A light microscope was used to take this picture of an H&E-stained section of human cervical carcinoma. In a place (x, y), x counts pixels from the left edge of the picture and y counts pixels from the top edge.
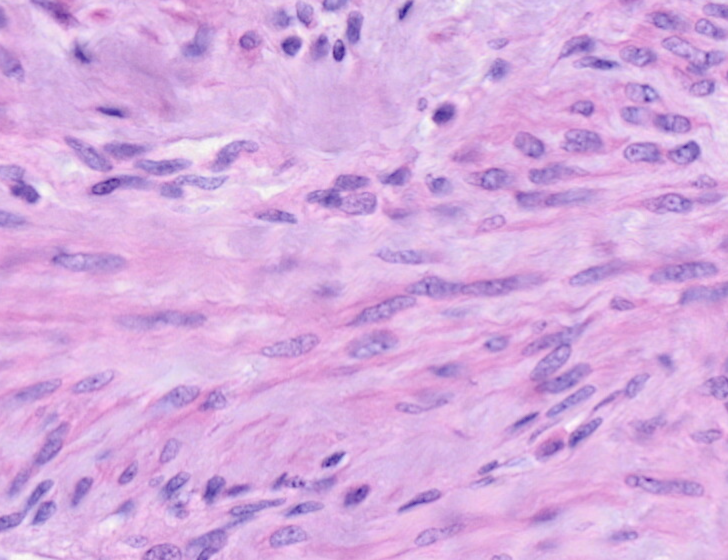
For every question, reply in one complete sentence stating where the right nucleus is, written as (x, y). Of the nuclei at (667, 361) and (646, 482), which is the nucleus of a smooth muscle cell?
The nucleus at (646, 482) is the one that belongs to a smooth muscle cell.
